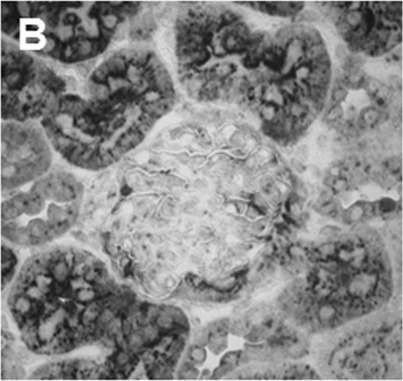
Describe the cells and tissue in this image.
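A glomerulus of the renal cortex lies in the centre, surrounded by cross-sections of proximal tubules. The glomerular tuft is pale, with thin capillary walls and only faint staining of its cells. The surrounding tubules have tall epithelial cells with dark, granular cytoplasm filling much of the tubule profile. Pale interstitium separates the tubules from one another and from the glomerulus.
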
